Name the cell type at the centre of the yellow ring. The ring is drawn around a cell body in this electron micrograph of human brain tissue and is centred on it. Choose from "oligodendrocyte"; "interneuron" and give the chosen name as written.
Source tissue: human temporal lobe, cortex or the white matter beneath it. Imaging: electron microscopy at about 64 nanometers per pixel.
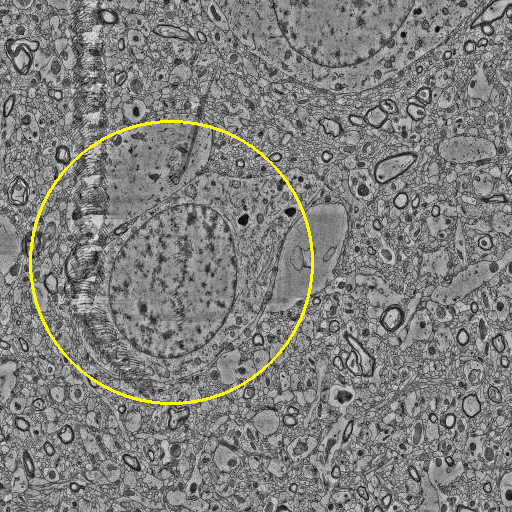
interneuron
